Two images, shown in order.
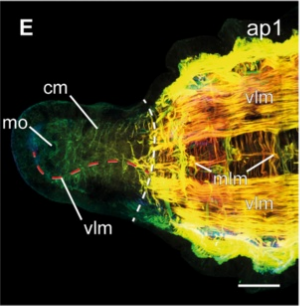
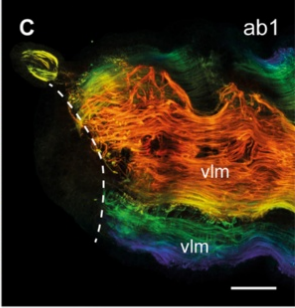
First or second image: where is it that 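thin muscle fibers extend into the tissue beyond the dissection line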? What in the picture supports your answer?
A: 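The first image. First image: thin fibers run through the elongated tip anterior to the dashed line. Second image: the region beyond the dashed line is dark and lacks muscle fibers.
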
